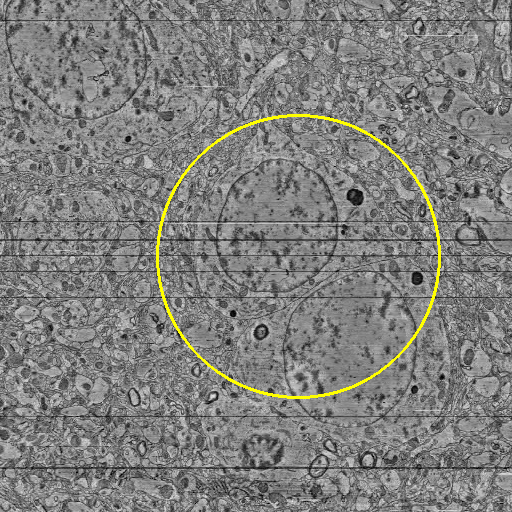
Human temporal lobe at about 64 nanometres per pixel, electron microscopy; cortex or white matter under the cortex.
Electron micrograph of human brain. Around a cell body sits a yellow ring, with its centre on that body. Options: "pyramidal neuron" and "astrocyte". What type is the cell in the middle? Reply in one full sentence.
The cell sitting at the centre of the yellow ring is a pyramidal neuron.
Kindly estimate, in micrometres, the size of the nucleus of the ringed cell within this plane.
In this plane, roughly 9 by 8 micrometres.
